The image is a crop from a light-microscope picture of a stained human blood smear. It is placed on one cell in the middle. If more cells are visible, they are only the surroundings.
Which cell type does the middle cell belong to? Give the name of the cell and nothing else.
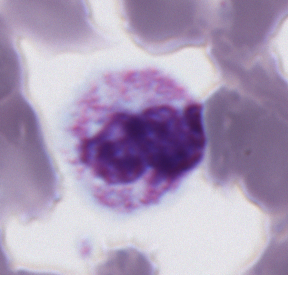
segmented neutrophil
